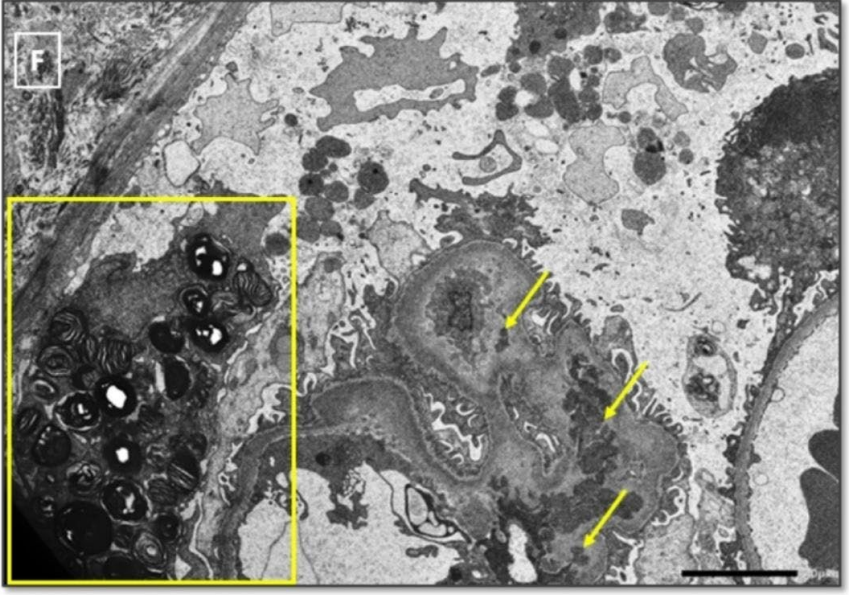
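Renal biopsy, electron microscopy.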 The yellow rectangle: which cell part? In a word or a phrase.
laminated zebra bodies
